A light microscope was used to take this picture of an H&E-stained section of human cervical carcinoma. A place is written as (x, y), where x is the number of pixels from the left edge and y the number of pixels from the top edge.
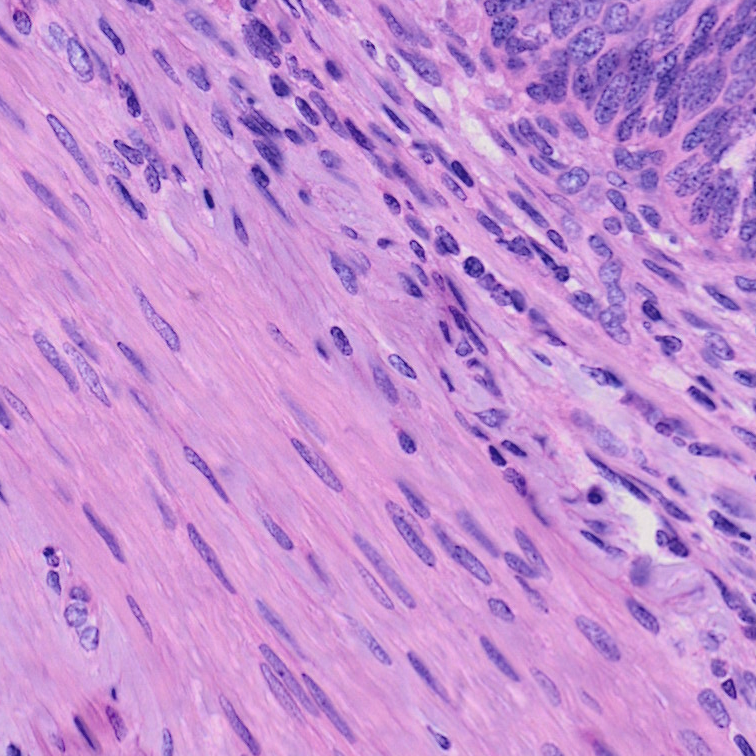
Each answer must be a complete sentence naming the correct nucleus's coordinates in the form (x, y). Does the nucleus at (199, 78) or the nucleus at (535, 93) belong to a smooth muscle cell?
The nucleus at (199, 78) is part of a smooth muscle cell, while the other is not.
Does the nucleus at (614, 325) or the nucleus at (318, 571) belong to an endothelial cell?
Lying within an endothelial cell is the nucleus at (614, 325).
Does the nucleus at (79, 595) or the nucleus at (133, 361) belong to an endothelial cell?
The one nucleus of the two that belongs to an endothelial cell is at (79, 595).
